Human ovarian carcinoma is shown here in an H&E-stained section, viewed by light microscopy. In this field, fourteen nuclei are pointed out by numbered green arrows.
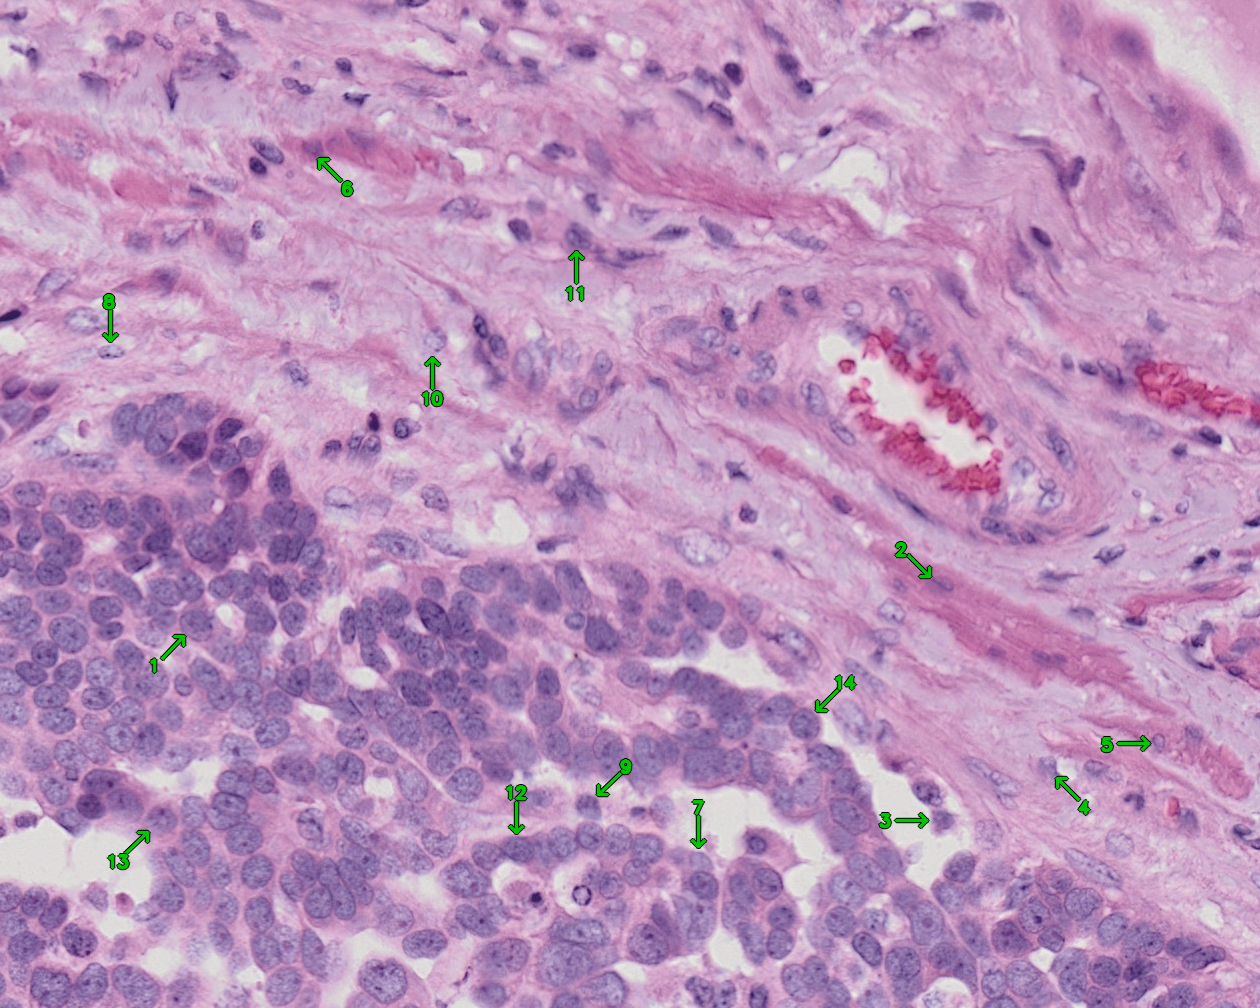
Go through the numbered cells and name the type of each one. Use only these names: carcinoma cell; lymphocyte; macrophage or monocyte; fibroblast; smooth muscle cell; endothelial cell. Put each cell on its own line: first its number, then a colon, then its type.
1: carcinoma cell
2: smooth muscle cell
3: macrophage or monocyte
4: fibroblast
5: smooth muscle cell
6: smooth muscle cell
7: carcinoma cell
8: fibroblast
9: macrophage or monocyte
10: fibroblast
11: endothelial cell
12: carcinoma cell
13: carcinoma cell
14: carcinoma cell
